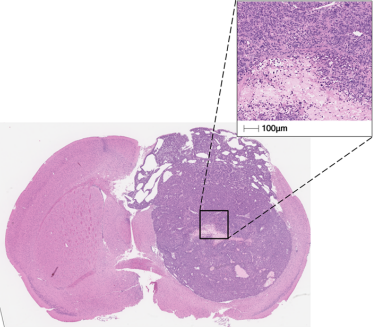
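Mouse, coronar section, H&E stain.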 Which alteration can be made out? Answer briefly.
Tumour.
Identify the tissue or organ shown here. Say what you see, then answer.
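Brain. Cortex and deep grey structures are visible in the pale pink hemisphere.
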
